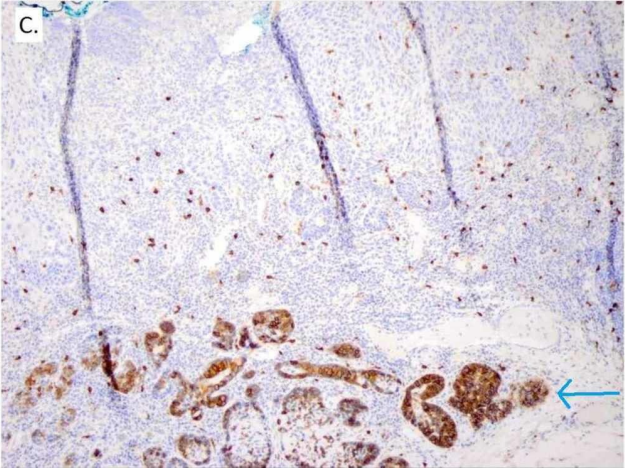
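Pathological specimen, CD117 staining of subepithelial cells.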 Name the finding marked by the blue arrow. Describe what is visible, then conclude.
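Adenoid cystic carcinoma. Rounded and tubular nests of cells in the lower part stain strongly brown. The overlying epithelium is largely unstained apart from scattered single brown cells.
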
